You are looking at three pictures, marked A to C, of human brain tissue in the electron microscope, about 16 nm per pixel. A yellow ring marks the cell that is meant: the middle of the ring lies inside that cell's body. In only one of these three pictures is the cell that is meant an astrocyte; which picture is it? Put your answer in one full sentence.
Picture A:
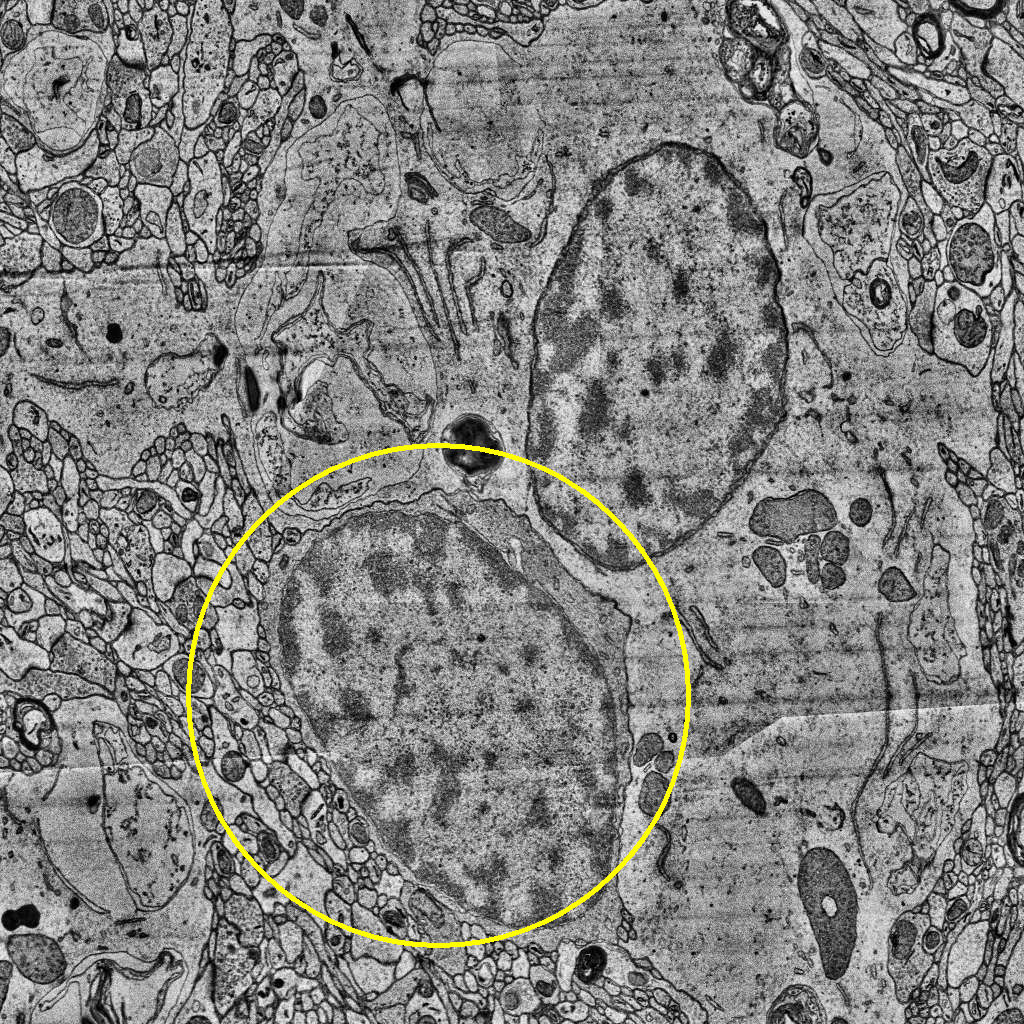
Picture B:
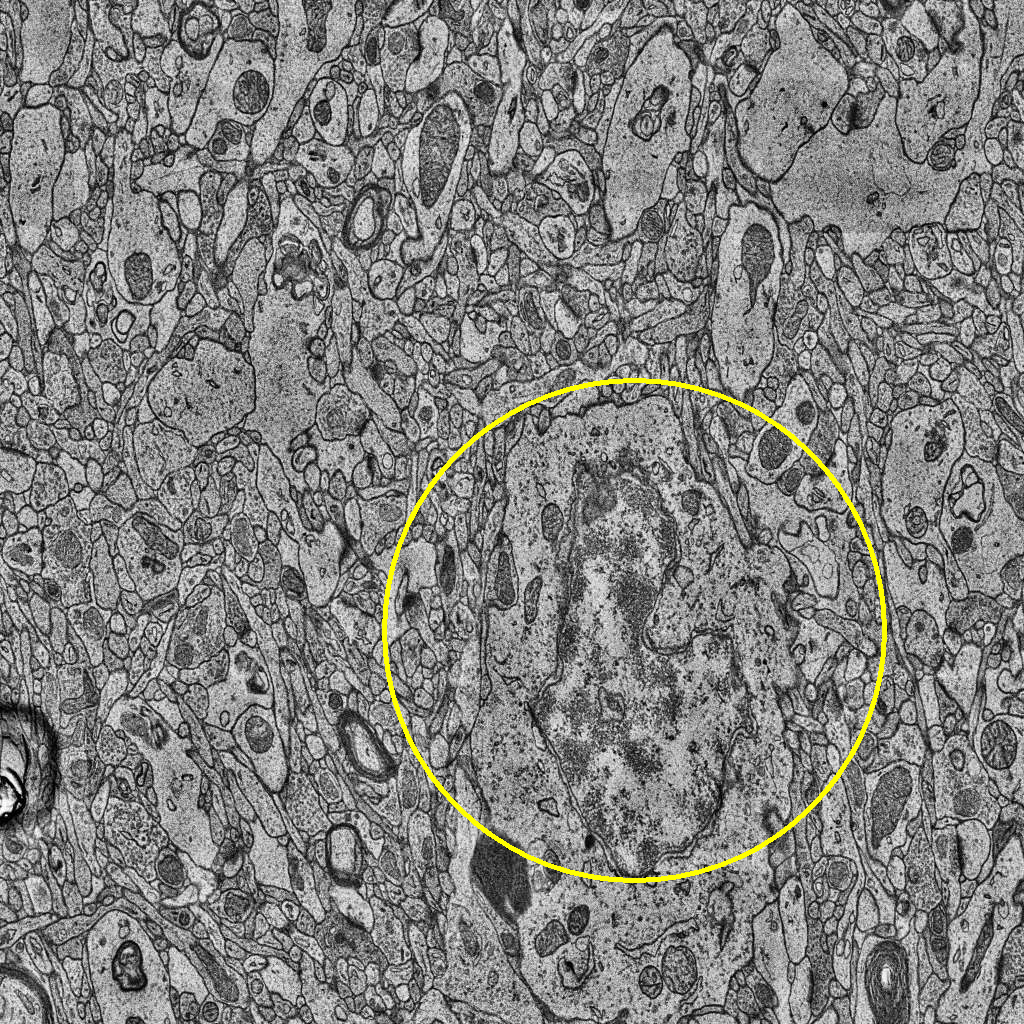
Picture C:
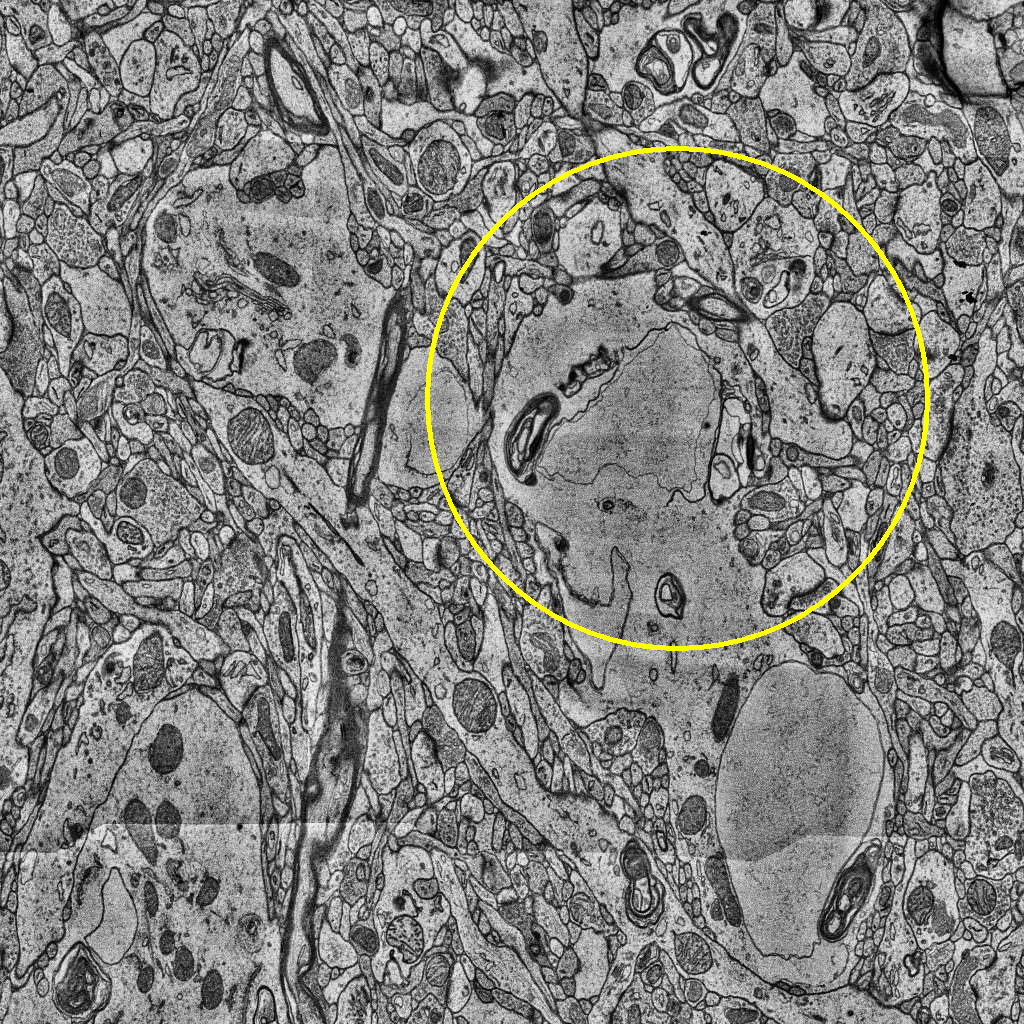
Picture C is the one that shows the astrocyte.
